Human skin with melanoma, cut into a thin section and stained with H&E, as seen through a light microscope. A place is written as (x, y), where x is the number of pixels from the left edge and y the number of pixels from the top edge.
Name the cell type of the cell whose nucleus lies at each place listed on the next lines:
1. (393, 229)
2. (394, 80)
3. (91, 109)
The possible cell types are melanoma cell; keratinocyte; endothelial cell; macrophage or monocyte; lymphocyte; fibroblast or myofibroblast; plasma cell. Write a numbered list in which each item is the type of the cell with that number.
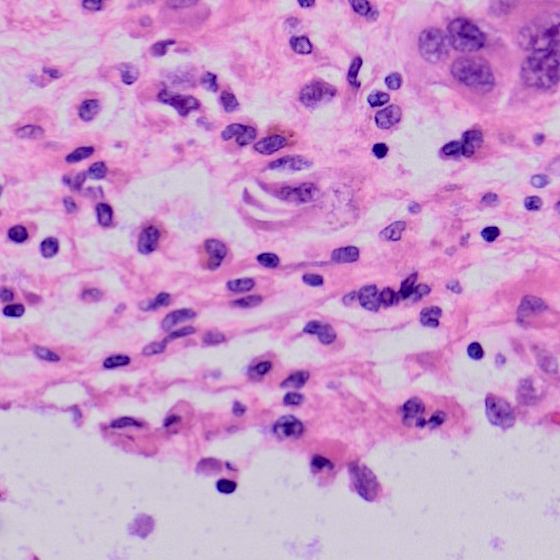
1. macrophage or monocyte
2. lymphocyte
3. macrophage or monocyte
